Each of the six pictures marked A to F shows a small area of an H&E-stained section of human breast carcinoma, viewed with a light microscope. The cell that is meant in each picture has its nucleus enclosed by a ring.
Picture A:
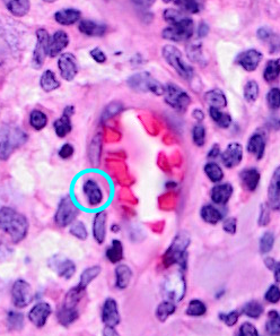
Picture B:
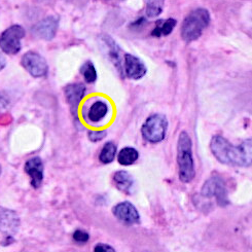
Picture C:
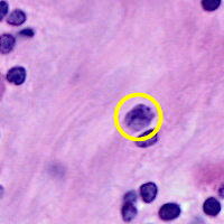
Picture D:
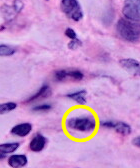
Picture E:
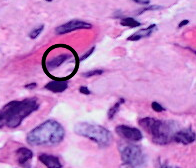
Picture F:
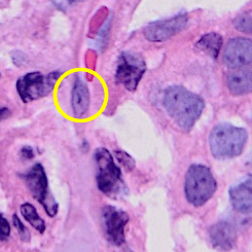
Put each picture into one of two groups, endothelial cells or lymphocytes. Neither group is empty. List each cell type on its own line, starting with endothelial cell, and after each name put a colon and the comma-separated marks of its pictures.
endothelial cell: E, F
lymphocyte: A, B, C, D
